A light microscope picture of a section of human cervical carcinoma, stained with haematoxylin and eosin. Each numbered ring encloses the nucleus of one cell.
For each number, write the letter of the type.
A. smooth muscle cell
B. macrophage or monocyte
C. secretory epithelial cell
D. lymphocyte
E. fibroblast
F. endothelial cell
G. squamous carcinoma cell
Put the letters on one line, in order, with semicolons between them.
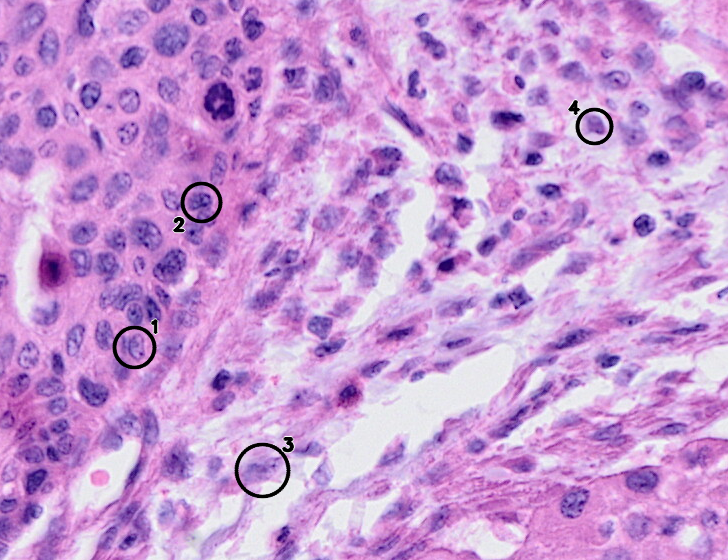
G; G; E; E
